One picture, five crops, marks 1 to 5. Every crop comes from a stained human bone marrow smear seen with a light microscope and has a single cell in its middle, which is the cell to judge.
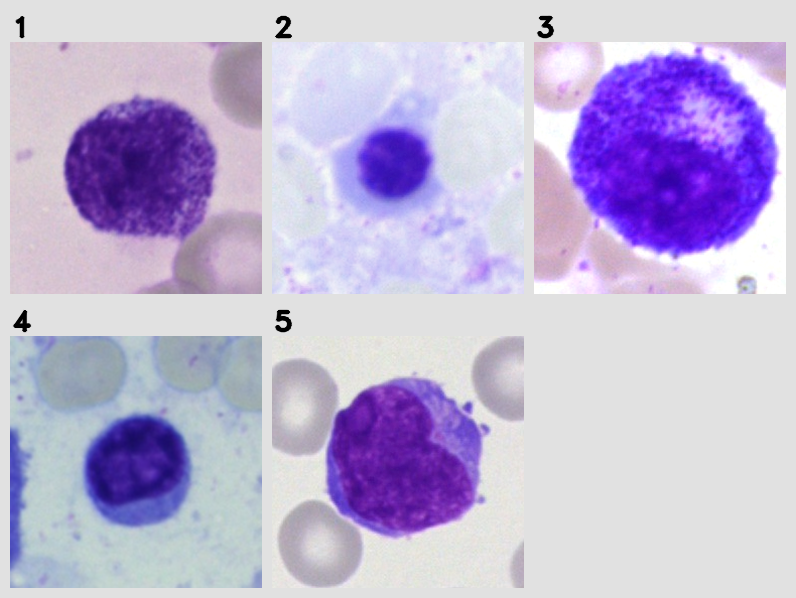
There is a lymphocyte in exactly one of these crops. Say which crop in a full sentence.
The crop marked 4 is the one in which a lymphocyte is shown.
